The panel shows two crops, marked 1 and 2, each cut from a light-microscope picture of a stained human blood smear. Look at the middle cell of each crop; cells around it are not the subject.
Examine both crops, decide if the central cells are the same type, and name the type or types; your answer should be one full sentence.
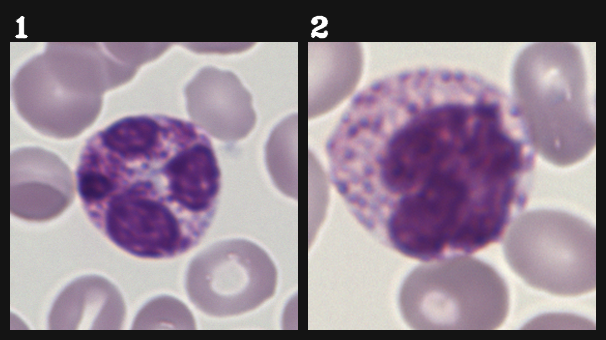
Yes, basophils are seen in both crops.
